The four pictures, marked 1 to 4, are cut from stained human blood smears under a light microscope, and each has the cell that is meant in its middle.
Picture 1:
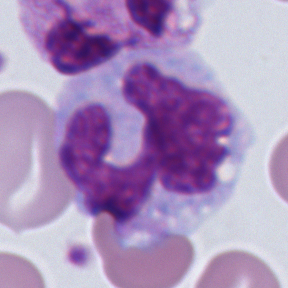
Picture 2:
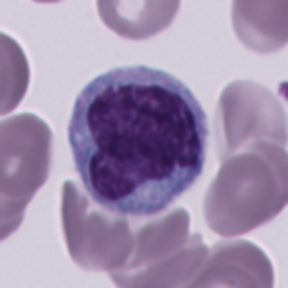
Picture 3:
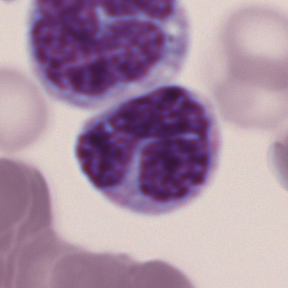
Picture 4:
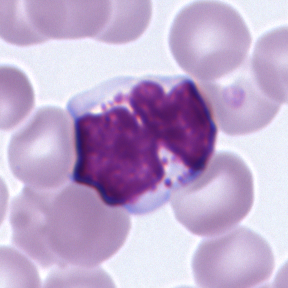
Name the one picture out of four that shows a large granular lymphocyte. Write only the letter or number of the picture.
4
